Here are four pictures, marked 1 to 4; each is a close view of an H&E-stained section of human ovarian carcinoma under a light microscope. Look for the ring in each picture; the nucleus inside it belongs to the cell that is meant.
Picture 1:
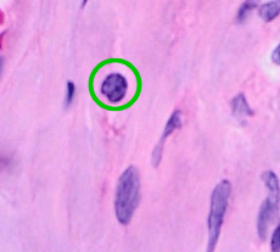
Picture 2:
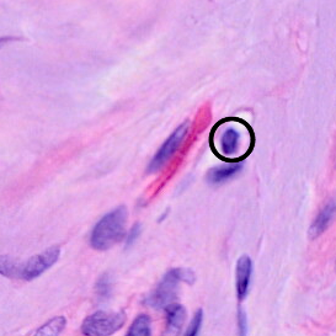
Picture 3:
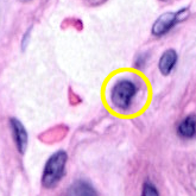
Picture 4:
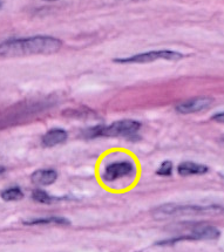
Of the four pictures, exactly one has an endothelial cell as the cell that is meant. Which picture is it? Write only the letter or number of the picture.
3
